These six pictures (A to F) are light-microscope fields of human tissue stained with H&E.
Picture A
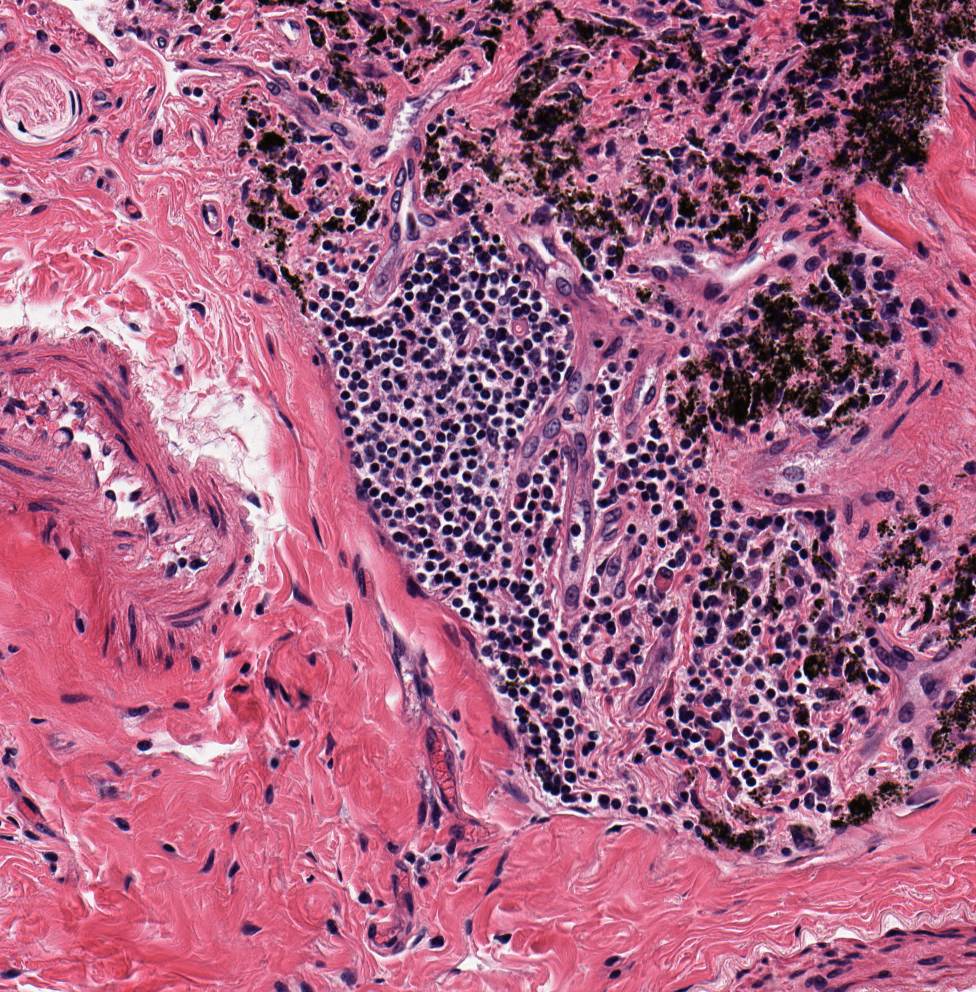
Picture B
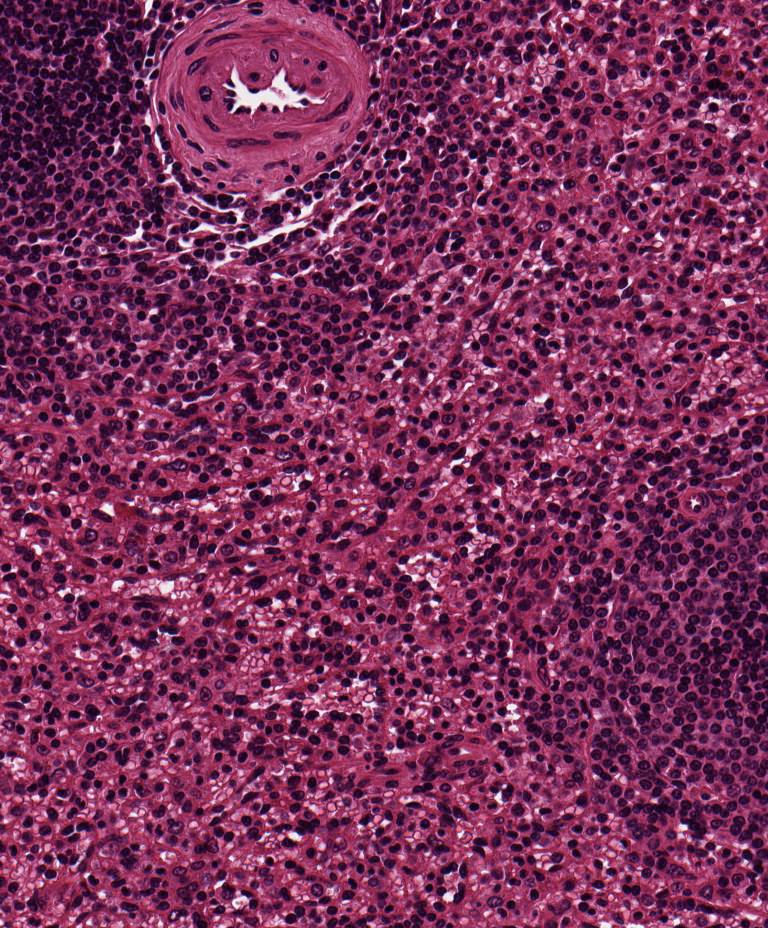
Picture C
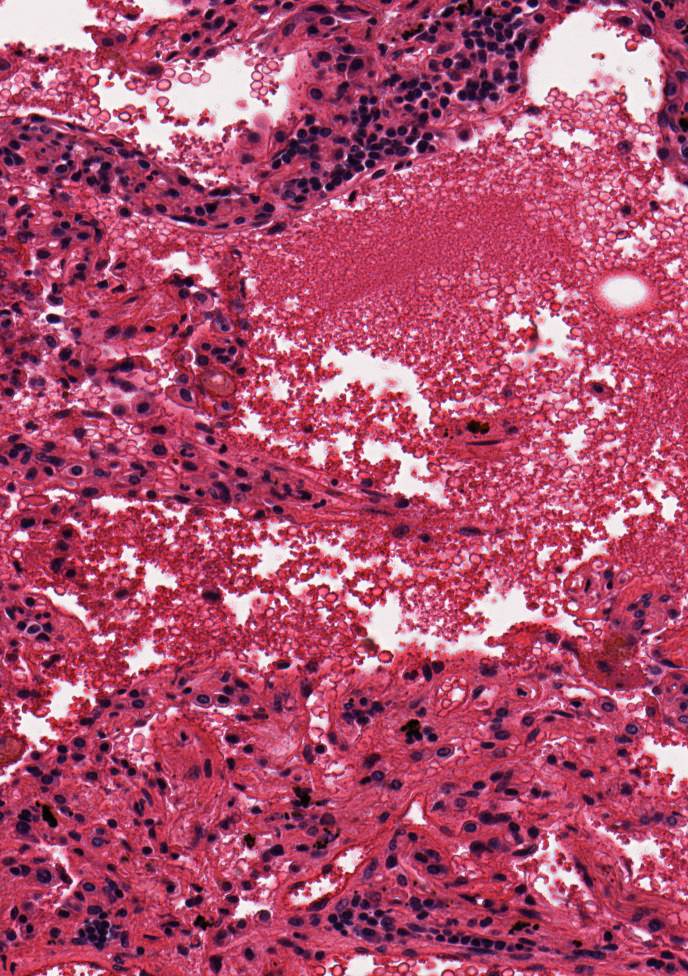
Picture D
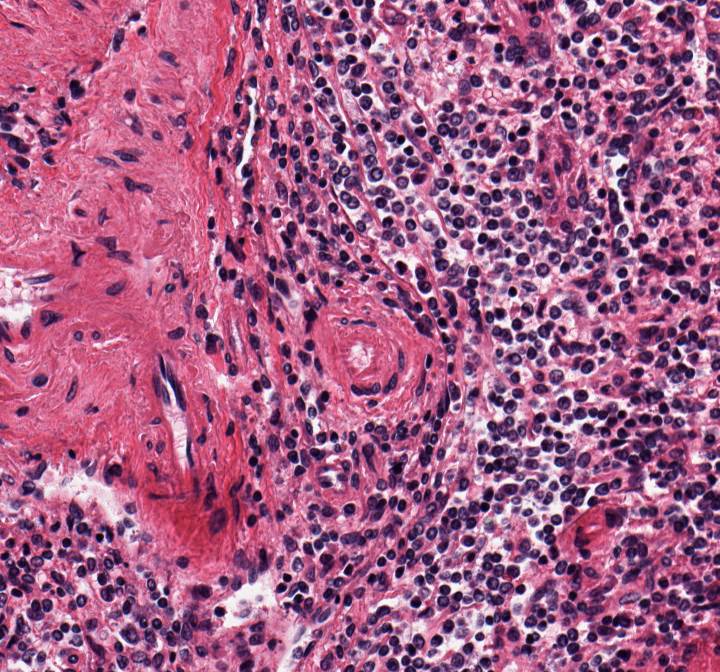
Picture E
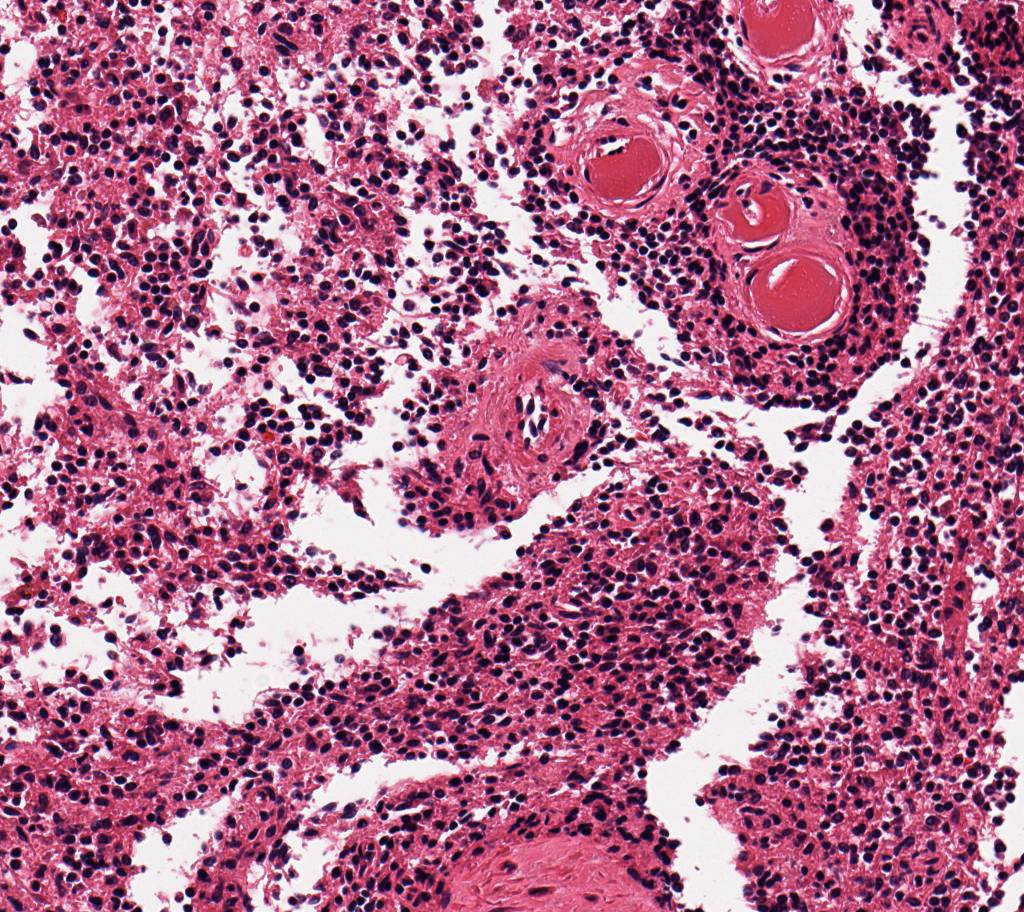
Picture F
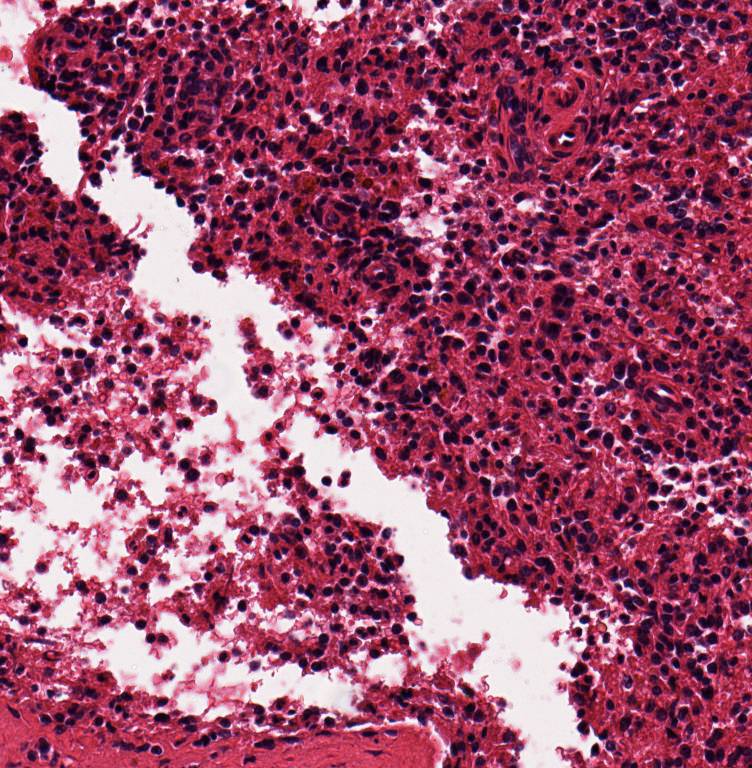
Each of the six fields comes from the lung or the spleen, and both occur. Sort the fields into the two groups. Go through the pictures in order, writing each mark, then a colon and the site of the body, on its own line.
A: lung
B: spleen
C: lung
D: spleen
E: spleen
F: spleen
